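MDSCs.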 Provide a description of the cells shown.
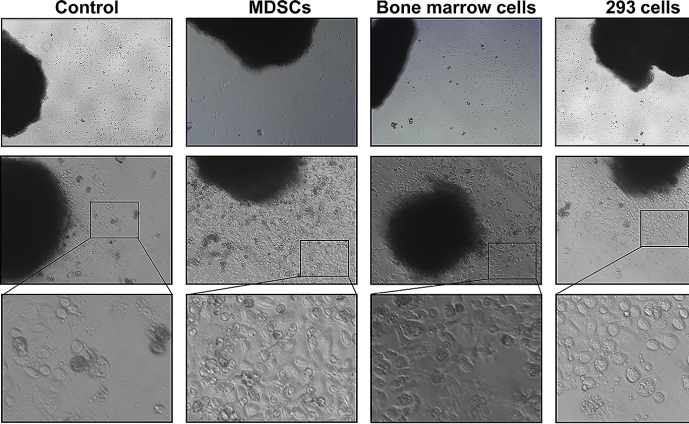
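Around some of the pieces, single cells have spread out onto the dish. In the enlarged boxes below, some fields hold flattened, spread cells with clear outlines, lying close together in a sheet. Other fields show mostly rounded cells that lie apart from one another. In the top row, the space around each piece is nearly empty, with only a few scattered specks.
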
